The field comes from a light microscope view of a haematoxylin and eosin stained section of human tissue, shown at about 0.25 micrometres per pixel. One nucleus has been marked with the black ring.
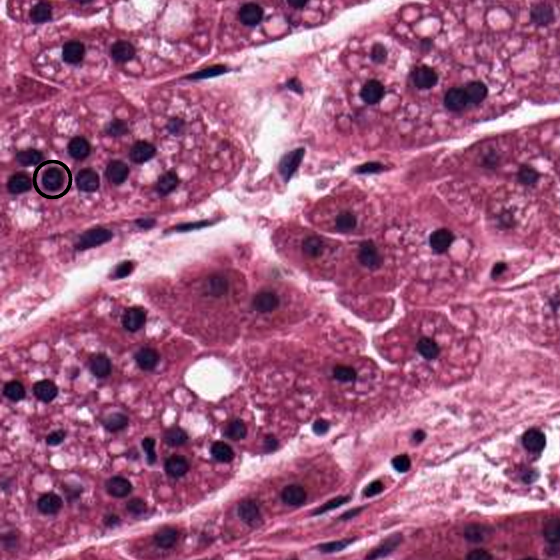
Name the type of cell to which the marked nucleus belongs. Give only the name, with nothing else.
adrenal cortical cell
